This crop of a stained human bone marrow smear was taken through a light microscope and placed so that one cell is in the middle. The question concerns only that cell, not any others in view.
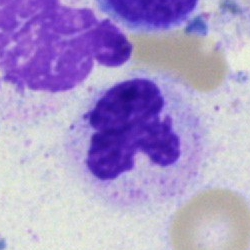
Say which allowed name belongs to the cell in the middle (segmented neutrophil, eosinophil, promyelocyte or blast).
segmented neutrophil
